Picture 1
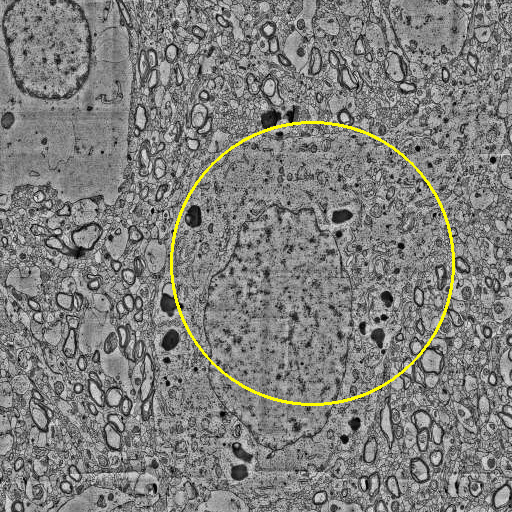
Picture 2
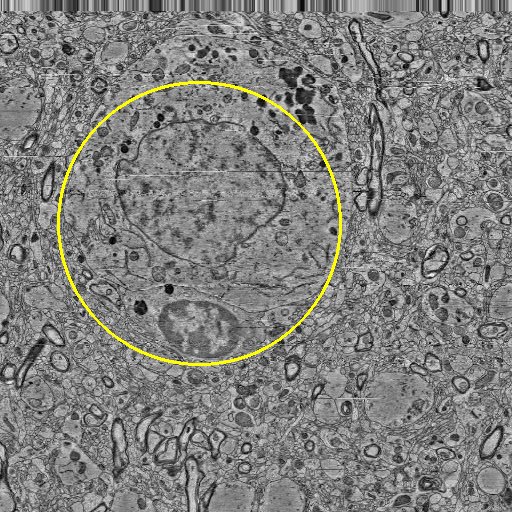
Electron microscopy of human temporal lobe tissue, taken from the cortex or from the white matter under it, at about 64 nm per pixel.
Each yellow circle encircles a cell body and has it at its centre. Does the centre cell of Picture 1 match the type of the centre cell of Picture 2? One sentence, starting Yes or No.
Yes, the cell centred in Picture 1 and the one in Picture 2 share a type.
